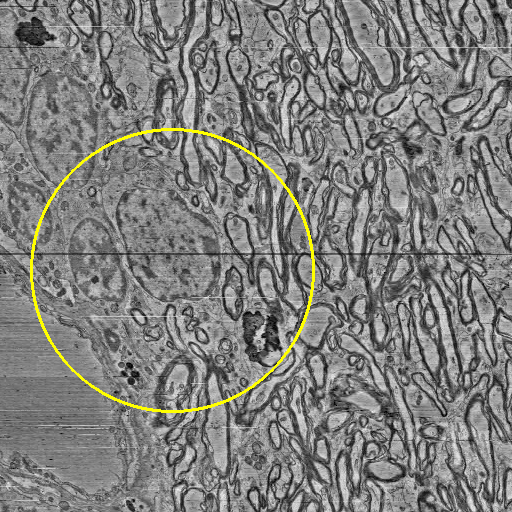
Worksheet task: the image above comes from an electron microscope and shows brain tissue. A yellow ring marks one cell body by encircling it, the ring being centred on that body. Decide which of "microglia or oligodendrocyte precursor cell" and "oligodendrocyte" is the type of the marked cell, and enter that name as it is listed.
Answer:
microglia or oligodendrocyte precursor cell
